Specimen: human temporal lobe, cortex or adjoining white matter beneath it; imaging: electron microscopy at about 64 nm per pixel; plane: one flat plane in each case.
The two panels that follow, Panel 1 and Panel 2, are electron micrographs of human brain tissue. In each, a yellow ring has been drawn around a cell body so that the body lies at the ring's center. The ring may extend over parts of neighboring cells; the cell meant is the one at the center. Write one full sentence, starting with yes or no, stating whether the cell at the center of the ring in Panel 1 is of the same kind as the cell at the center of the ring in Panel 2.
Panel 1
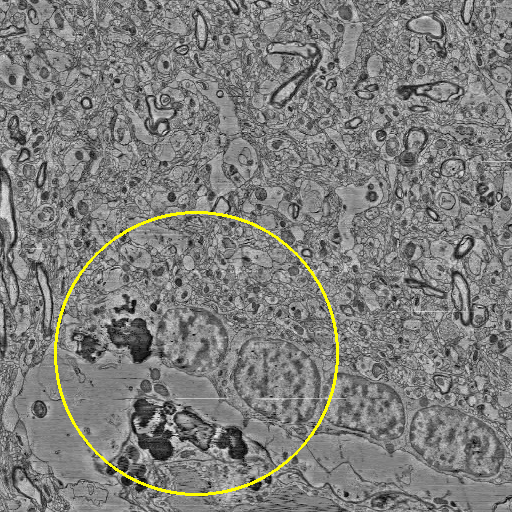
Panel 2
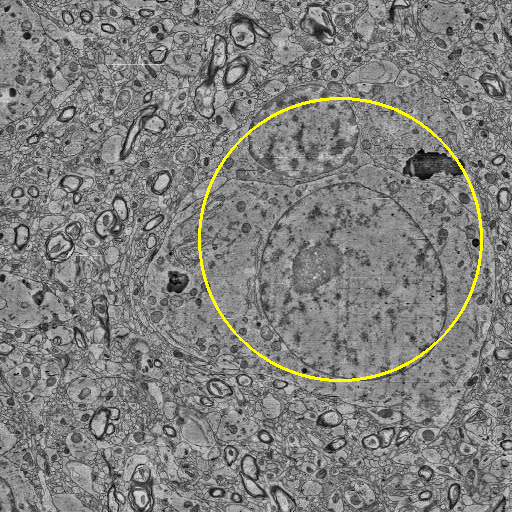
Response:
No, the cells in the two panels are of two kinds.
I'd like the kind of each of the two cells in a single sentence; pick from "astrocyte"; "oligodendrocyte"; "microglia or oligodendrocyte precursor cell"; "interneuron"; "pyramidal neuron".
The first ring marks an oligodendrocyte, and the second ring marks a pyramidal neuron.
